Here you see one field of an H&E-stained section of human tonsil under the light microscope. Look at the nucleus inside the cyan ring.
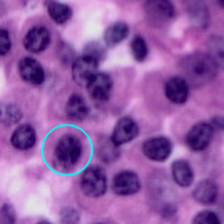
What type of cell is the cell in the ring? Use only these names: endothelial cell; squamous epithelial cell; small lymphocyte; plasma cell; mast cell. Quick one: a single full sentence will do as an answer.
In this field of tissue, the cell in the ring is a plasma cell.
